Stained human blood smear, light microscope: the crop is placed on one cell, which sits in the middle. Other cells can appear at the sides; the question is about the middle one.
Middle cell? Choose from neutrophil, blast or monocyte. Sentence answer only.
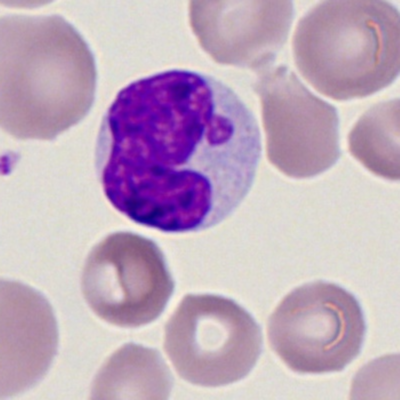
The cell nearest the centre of this crop is a monocyte.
